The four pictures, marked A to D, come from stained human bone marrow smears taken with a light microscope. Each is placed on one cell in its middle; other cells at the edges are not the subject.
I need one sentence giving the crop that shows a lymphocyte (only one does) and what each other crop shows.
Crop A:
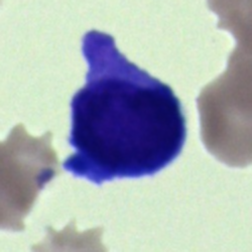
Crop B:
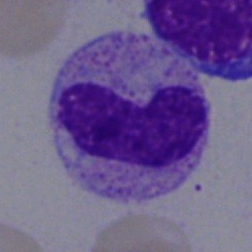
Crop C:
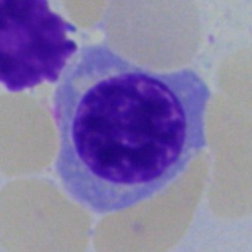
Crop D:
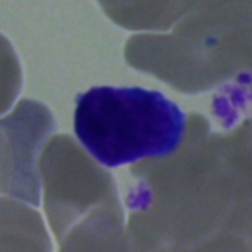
There is a lymphocyte in crop D, while crop A is a blast, crop B is a band neutrophil and crop C is an erythroblast.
